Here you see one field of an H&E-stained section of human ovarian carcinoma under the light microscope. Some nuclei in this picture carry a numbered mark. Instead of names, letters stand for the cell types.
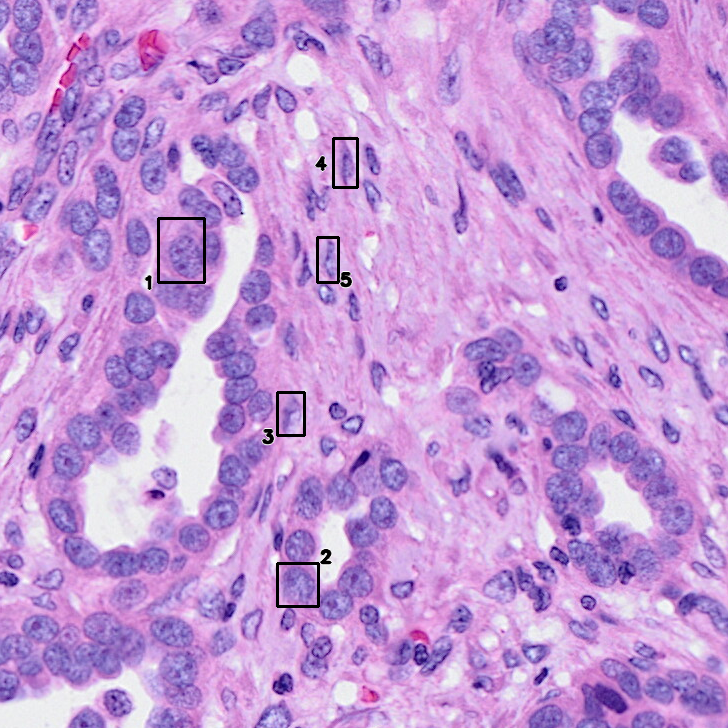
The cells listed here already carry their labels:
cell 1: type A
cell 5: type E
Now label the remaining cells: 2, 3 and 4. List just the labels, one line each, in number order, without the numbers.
type A
type E
type E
